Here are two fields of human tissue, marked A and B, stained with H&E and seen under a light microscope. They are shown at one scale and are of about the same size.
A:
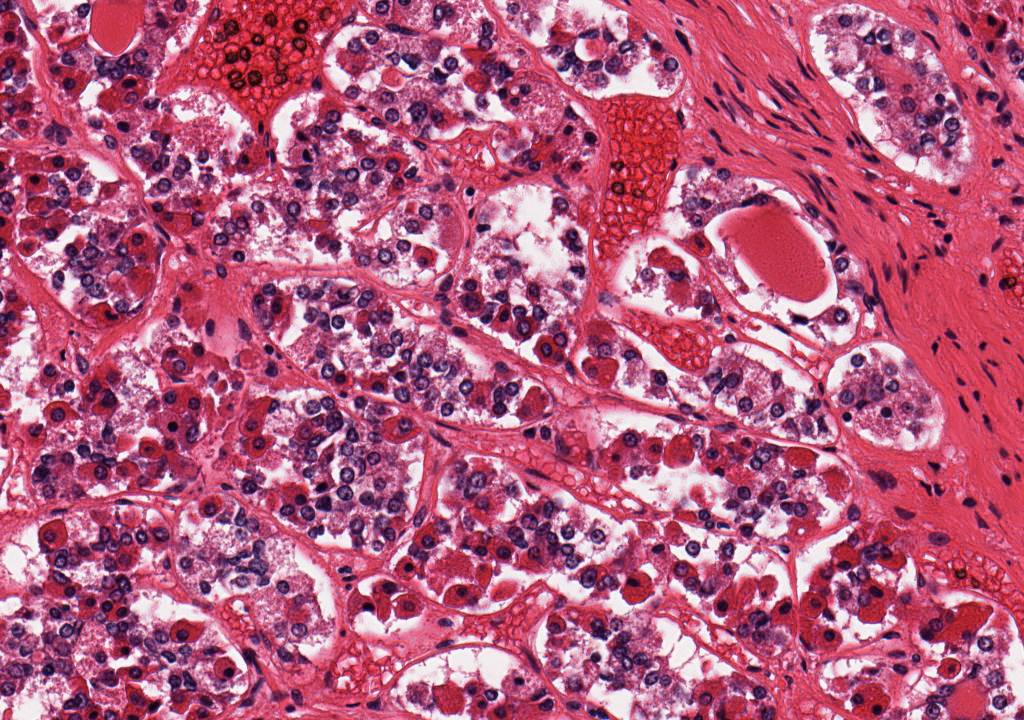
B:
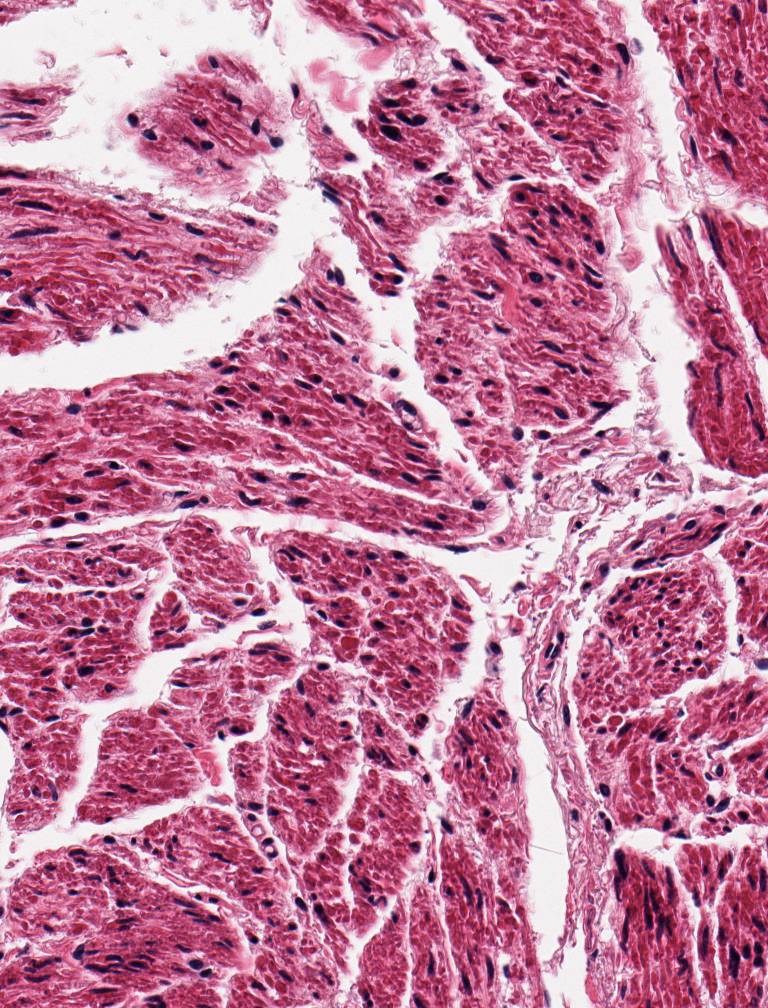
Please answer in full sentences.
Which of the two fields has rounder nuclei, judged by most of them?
On the whole the nuclei of field A are rounder than those of field B.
